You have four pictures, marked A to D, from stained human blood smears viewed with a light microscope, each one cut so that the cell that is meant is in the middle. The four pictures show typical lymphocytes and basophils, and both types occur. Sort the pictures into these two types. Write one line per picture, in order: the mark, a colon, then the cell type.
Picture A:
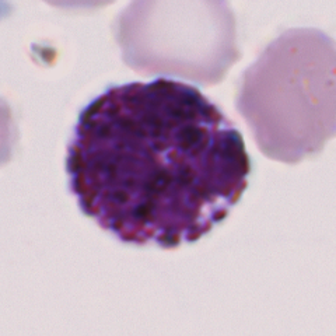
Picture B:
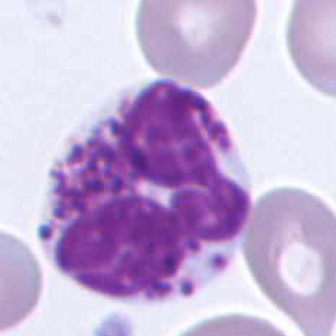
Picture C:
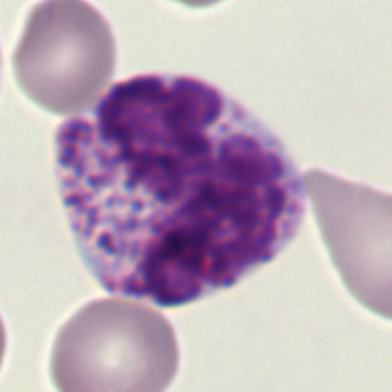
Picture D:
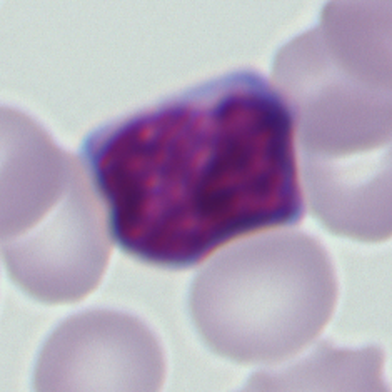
A: basophil
B: basophil
C: basophil
D: typical lymphocyte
